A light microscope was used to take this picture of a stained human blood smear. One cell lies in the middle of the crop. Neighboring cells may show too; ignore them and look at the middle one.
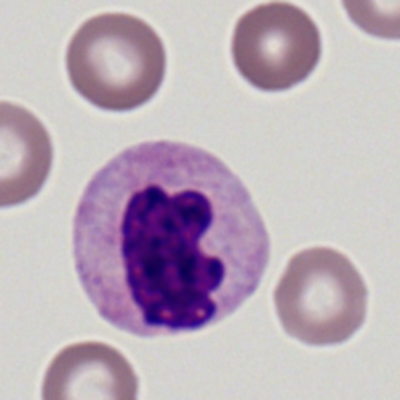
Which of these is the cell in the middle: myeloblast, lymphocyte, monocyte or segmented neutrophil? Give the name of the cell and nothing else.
segmented neutrophil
